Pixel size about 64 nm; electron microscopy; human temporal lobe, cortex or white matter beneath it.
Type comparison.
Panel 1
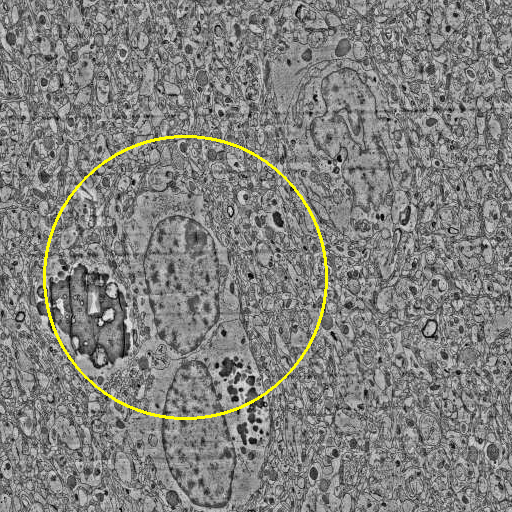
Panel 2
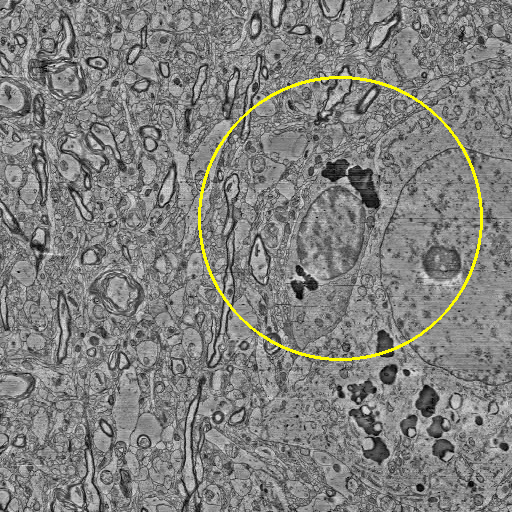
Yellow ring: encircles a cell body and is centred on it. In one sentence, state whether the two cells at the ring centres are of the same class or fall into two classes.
In these panels, the two cells at the ring centres fall into two classes.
